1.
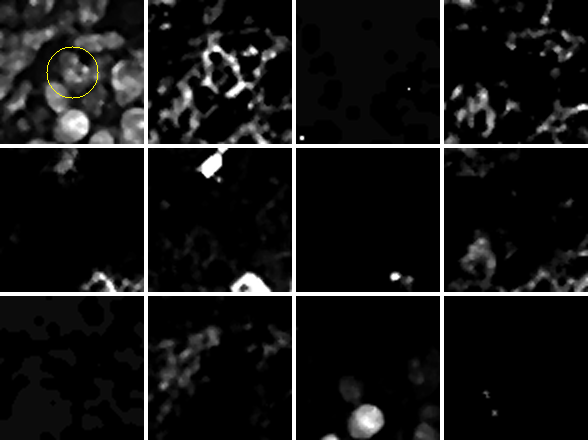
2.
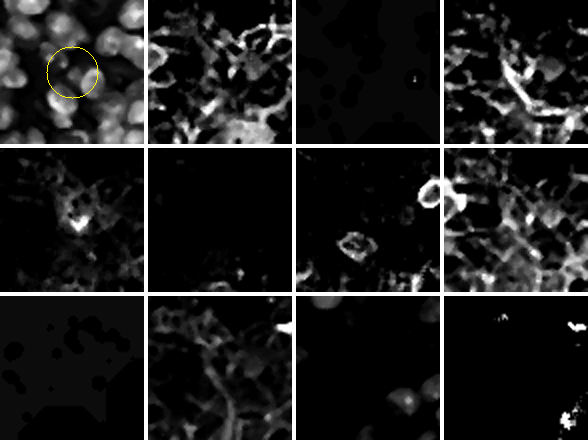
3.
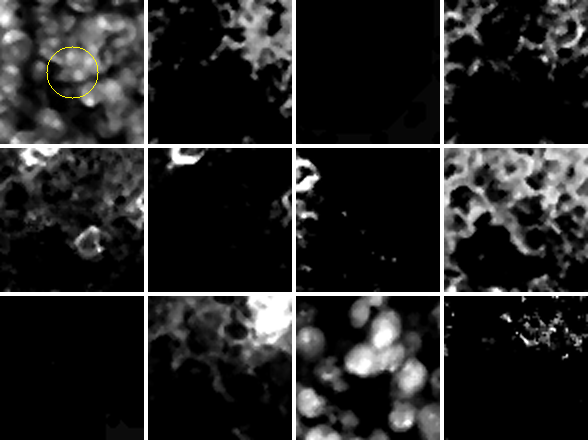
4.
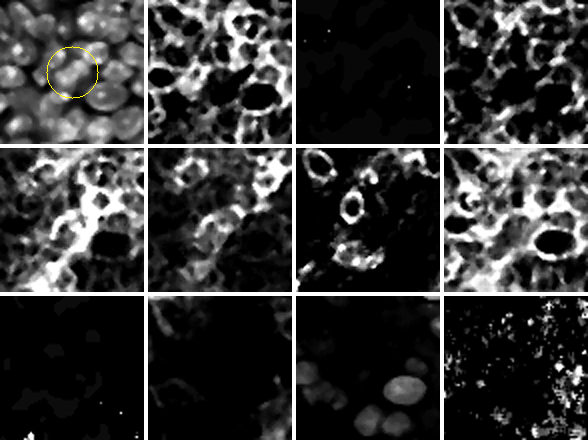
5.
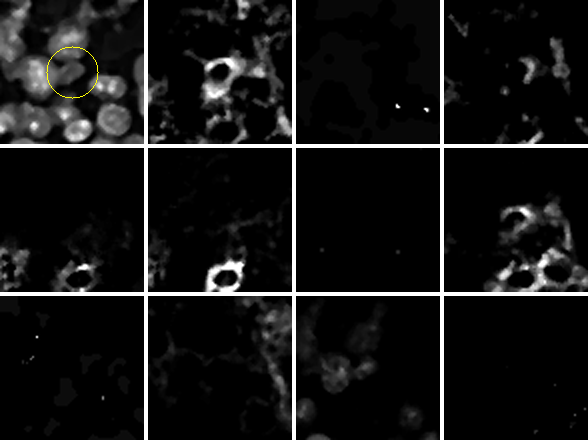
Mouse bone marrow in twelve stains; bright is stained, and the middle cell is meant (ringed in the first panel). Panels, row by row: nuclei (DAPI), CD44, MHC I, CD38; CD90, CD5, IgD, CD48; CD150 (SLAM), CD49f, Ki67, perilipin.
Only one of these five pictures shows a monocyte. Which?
Picture 5.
